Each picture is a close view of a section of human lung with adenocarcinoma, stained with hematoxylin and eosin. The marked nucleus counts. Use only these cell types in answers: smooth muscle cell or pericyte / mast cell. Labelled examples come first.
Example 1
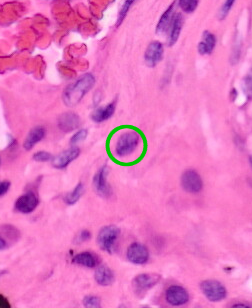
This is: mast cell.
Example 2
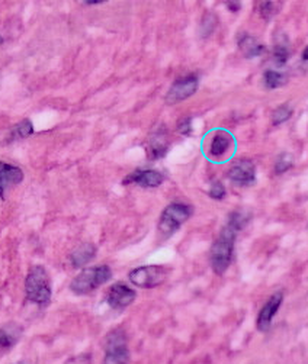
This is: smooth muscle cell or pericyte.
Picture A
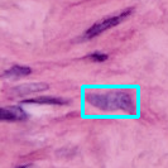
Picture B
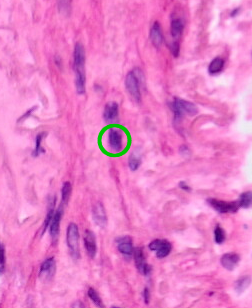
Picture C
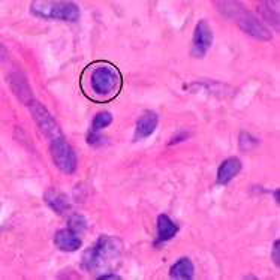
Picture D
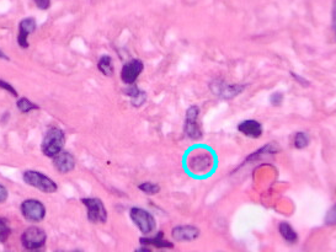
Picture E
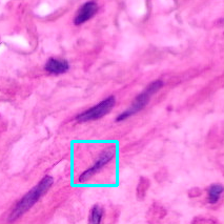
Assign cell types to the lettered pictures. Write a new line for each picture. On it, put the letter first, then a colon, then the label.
A: smooth muscle cell or pericyte.
B: smooth muscle cell or pericyte.
C: mast cell.
D: mast cell.
E: smooth muscle cell or pericyte.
